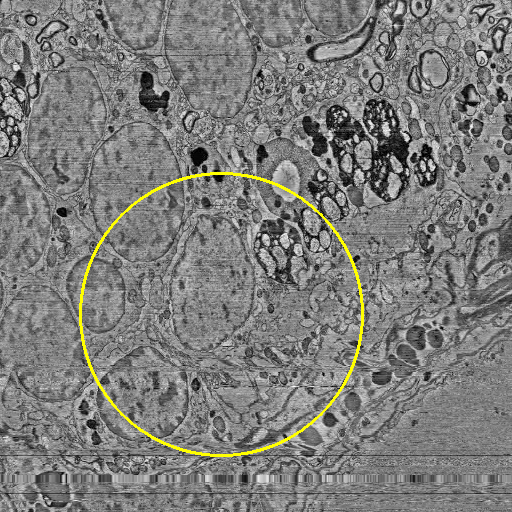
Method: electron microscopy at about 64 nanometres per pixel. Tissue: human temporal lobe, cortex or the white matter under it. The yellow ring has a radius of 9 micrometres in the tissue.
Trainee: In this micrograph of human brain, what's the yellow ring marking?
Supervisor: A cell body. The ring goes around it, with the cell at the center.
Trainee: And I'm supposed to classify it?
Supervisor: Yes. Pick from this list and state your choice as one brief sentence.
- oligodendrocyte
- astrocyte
The cell at the ring's center is an astrocyte.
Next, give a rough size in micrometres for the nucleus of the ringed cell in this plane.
The nucleus measures about 9 by 5 micrometres, so it is clearly longer than it is wide in this plane.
